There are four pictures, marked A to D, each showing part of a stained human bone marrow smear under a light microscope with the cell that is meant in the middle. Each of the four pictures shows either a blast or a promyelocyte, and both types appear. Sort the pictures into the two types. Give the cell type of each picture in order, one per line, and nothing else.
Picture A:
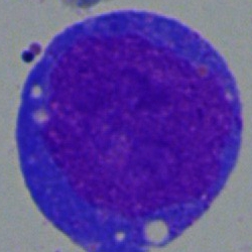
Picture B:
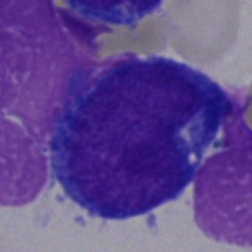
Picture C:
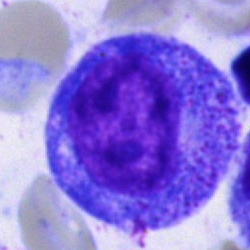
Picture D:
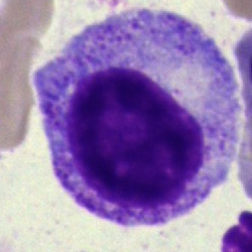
blast
blast
promyelocyte
promyelocyte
